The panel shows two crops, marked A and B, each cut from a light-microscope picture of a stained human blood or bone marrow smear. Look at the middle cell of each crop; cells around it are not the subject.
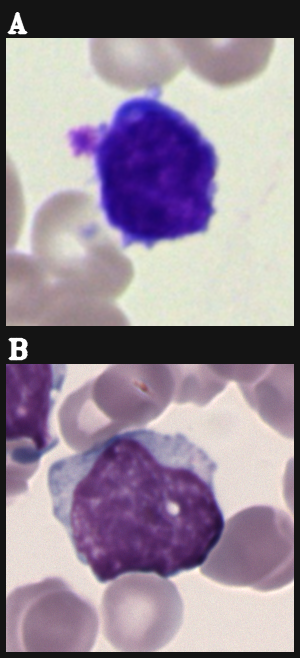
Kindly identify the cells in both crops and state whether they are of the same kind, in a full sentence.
No, crop A is where a lymphocyte is shown, and crop B is where a blast is shown.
